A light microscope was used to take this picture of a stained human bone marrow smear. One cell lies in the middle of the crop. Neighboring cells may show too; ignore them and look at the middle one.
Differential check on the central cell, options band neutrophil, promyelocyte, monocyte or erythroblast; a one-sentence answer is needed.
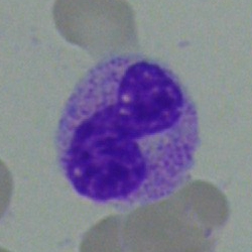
Centred in the crop is a band neutrophil.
